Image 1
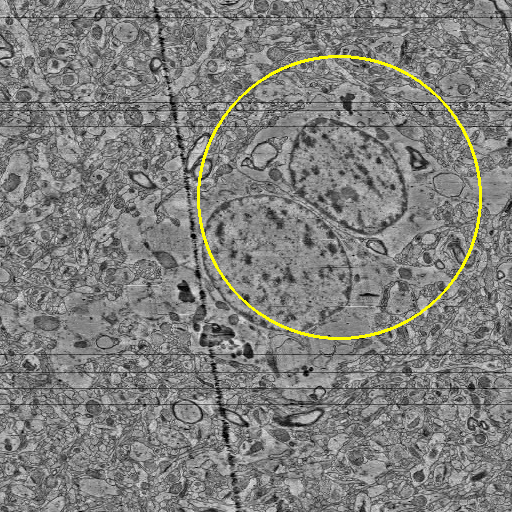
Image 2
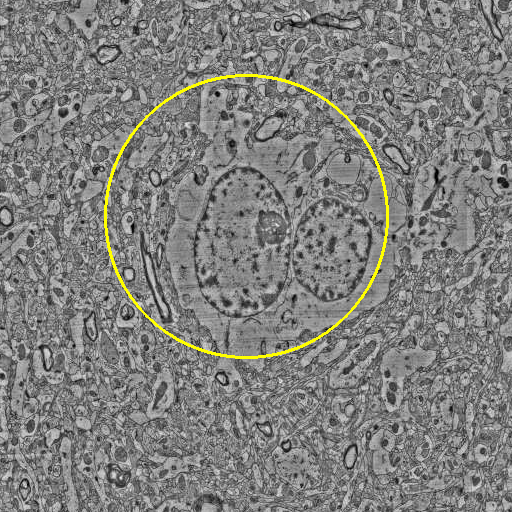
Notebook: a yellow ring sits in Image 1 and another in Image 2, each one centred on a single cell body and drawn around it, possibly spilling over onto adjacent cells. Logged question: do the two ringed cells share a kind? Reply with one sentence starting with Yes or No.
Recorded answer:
Yes, both centre cells inside the rings of Image 1 and Image 2 share one kind.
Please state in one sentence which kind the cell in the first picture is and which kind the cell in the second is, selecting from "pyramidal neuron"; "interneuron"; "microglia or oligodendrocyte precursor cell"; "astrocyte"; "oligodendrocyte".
Both pictures show an astrocyte at the centre of the ring.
